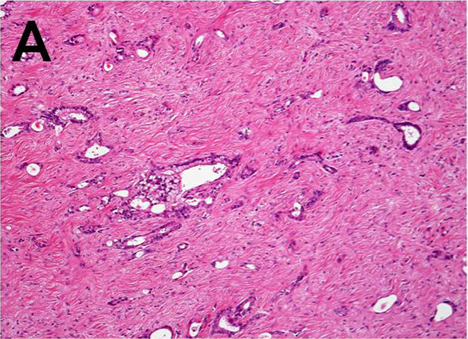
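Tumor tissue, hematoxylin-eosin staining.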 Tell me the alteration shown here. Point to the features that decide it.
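Small irregular glands and tubules lined by atypical cuboidal to columnar cells. Glands scattered in an abundant pink fibrous stroma. Some glands with open lumens containing secretions or debris. The answer: moderately differentiated tubular adenocarcinoma.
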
